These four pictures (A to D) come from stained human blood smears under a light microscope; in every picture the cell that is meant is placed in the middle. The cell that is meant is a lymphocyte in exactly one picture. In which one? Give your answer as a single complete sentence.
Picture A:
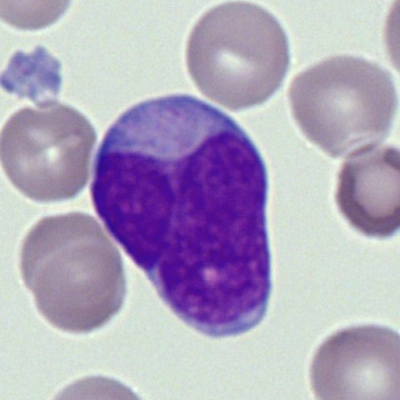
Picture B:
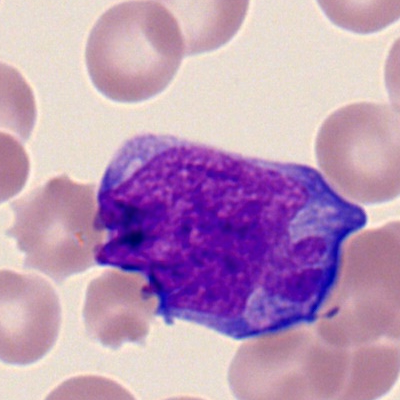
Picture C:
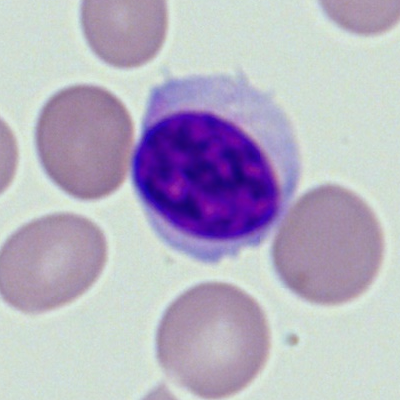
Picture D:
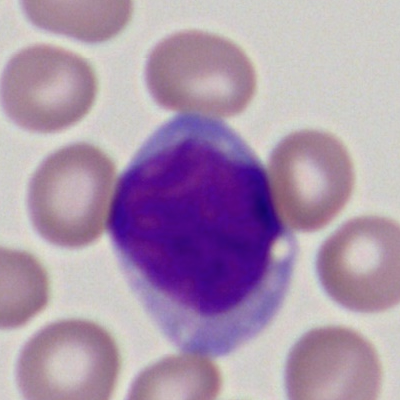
The lymphocyte is the one in picture C.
